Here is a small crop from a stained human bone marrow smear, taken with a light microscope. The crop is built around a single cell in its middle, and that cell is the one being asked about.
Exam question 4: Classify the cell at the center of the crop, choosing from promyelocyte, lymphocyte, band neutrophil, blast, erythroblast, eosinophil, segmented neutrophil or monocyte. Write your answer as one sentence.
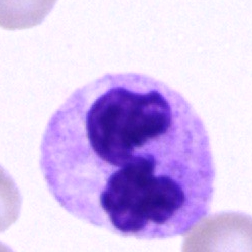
Centred in the crop is a segmented neutrophil.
